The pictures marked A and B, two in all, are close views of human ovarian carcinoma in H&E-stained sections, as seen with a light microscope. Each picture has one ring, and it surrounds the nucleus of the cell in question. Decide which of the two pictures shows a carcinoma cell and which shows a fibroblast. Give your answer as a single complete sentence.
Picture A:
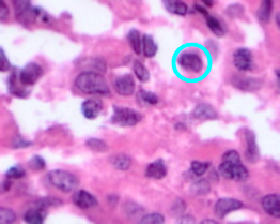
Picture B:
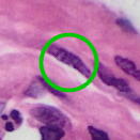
The cell in picture A is a carcinoma cell, and the one in picture B is a fibroblast.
